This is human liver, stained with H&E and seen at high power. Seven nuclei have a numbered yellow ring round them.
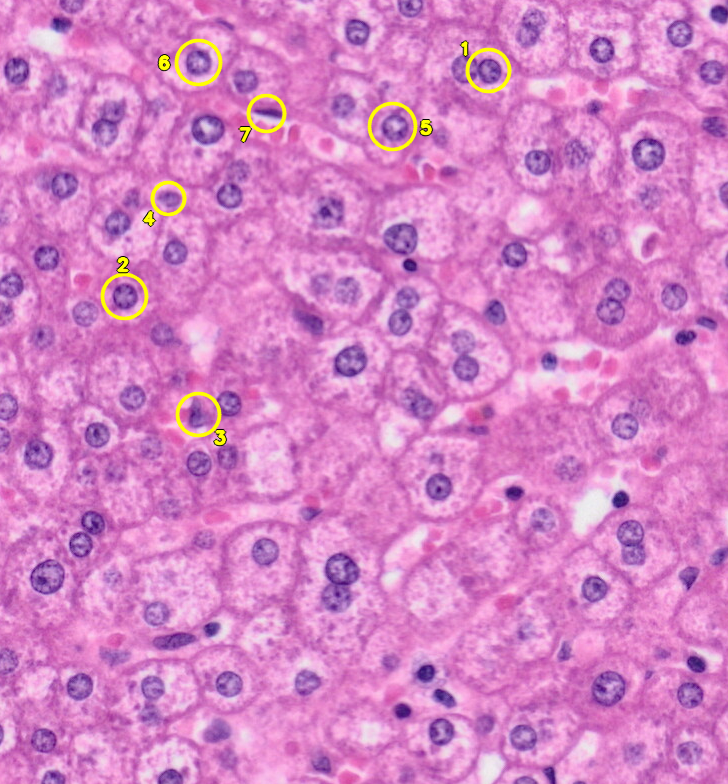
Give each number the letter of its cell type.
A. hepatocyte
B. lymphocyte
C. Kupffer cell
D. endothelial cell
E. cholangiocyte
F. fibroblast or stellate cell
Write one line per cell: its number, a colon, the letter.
1: A
2: A
3: C
4: C
5: A
6: A
7: D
